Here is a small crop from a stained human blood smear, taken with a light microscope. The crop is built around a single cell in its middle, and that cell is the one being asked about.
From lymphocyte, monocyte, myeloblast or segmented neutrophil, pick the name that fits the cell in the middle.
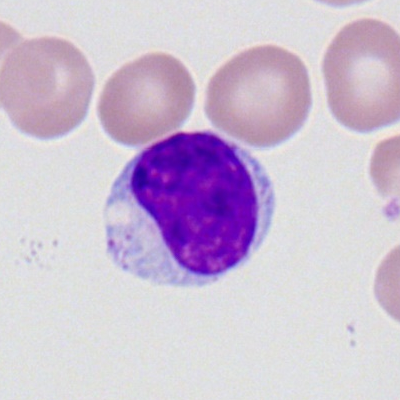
lymphocyte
